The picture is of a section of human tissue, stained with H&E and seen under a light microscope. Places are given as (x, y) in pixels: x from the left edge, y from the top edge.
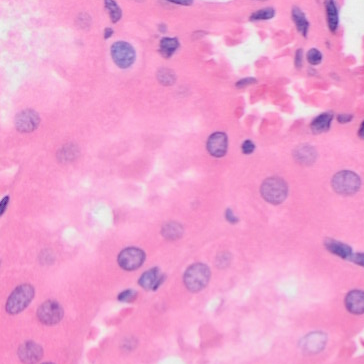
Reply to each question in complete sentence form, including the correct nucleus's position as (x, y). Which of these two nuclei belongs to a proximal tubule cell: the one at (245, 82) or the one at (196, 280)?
Identified as belonging to a proximal tubule cell is the nucleus at (196, 280).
